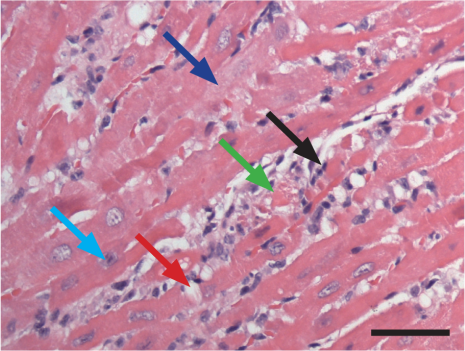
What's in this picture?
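This is heart muscle in which the pink cardiomyocyte fibres are disorganised, some broad and pale, some with large rounded purple nuclei. Between the fibres lie clusters of many small, dark purple nuclei, and there are clear white spaces within and beside the fibres. In places the fibre pattern breaks down into pale debris with scattered dark nuclei. Together this reads as injured myocardium with swollen cells, vacuoles, cell death and interstitial leukocyte infiltration.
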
